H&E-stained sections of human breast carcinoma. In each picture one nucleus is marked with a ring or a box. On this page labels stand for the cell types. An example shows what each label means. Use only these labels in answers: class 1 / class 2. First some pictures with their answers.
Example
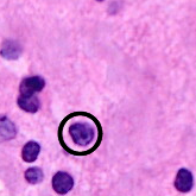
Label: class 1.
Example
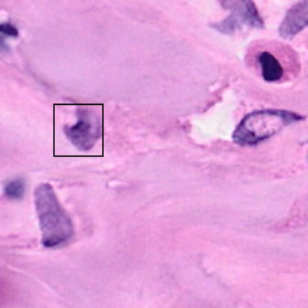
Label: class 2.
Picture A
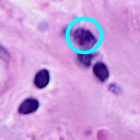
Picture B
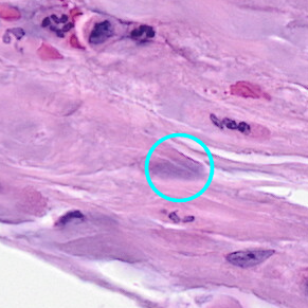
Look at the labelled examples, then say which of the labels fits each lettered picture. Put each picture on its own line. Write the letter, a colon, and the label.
A: class 1.
B: class 2.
